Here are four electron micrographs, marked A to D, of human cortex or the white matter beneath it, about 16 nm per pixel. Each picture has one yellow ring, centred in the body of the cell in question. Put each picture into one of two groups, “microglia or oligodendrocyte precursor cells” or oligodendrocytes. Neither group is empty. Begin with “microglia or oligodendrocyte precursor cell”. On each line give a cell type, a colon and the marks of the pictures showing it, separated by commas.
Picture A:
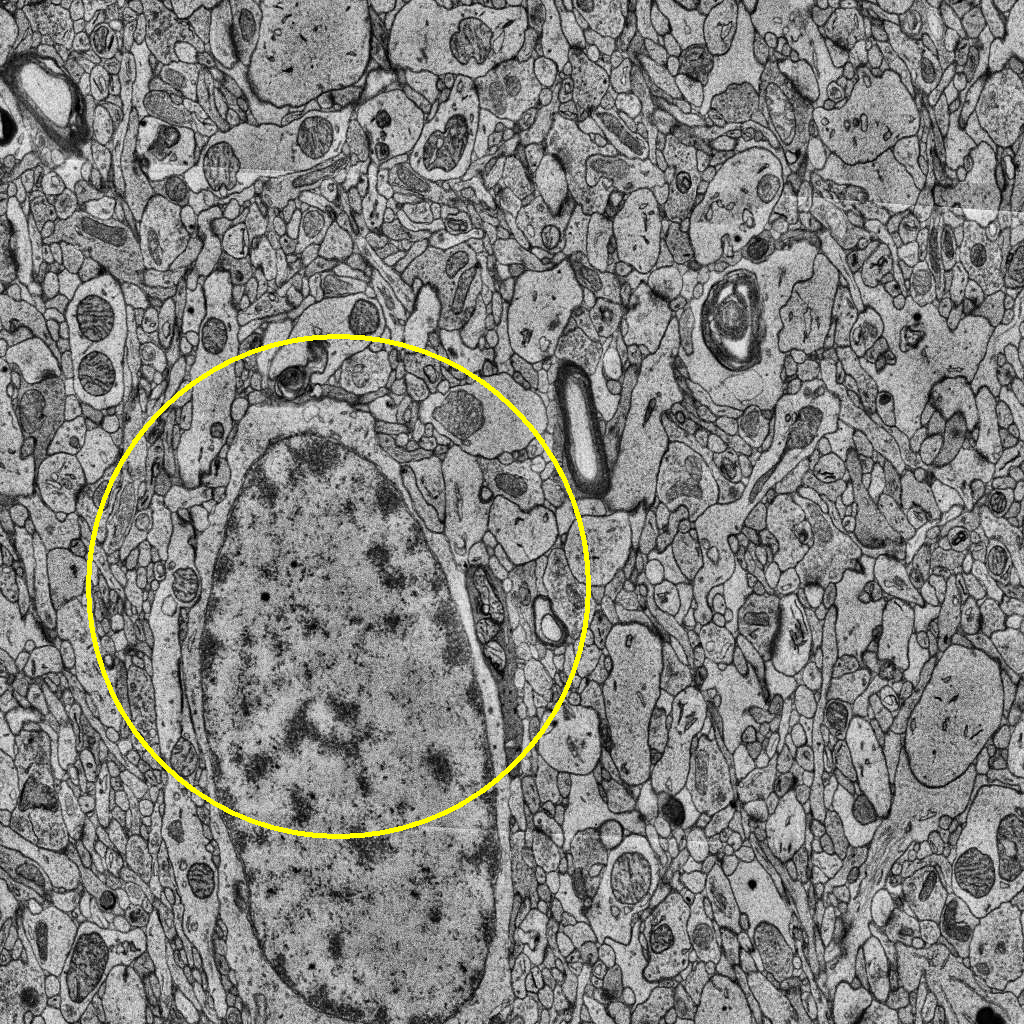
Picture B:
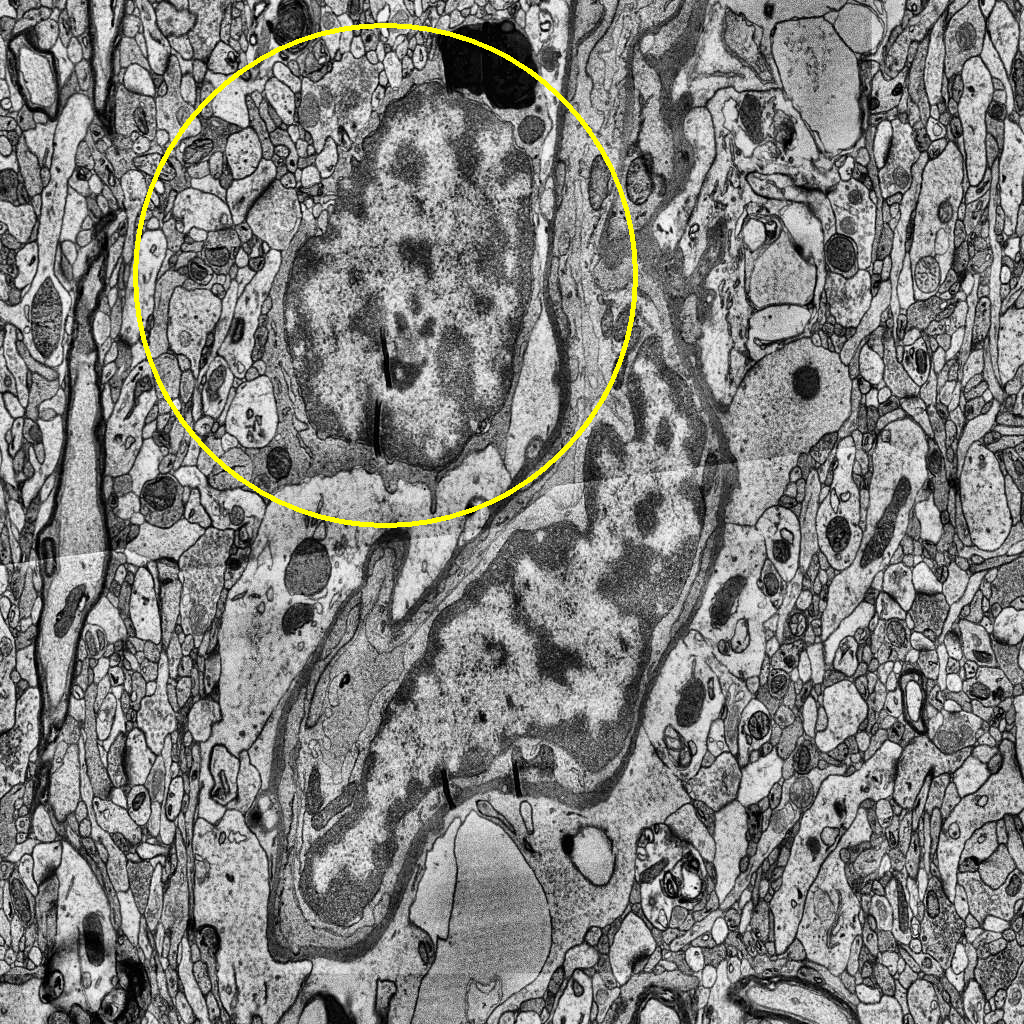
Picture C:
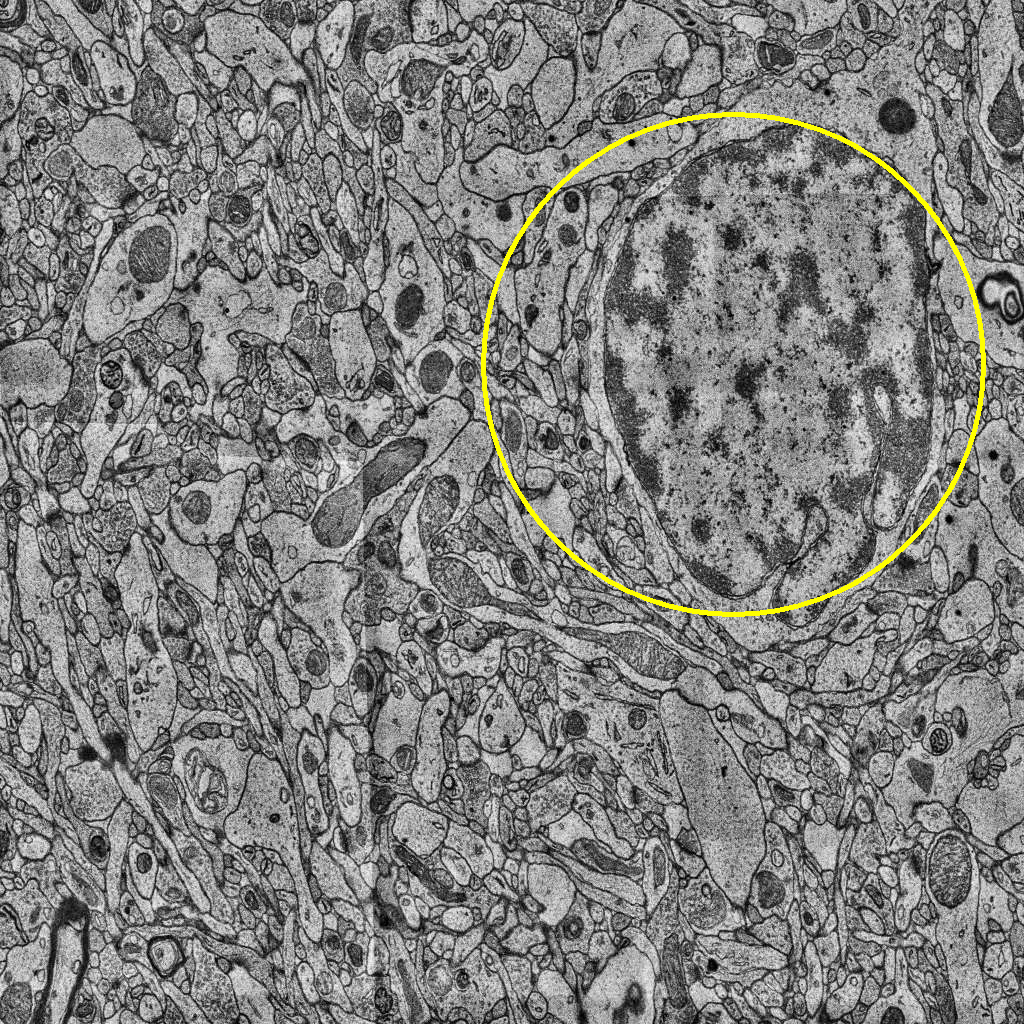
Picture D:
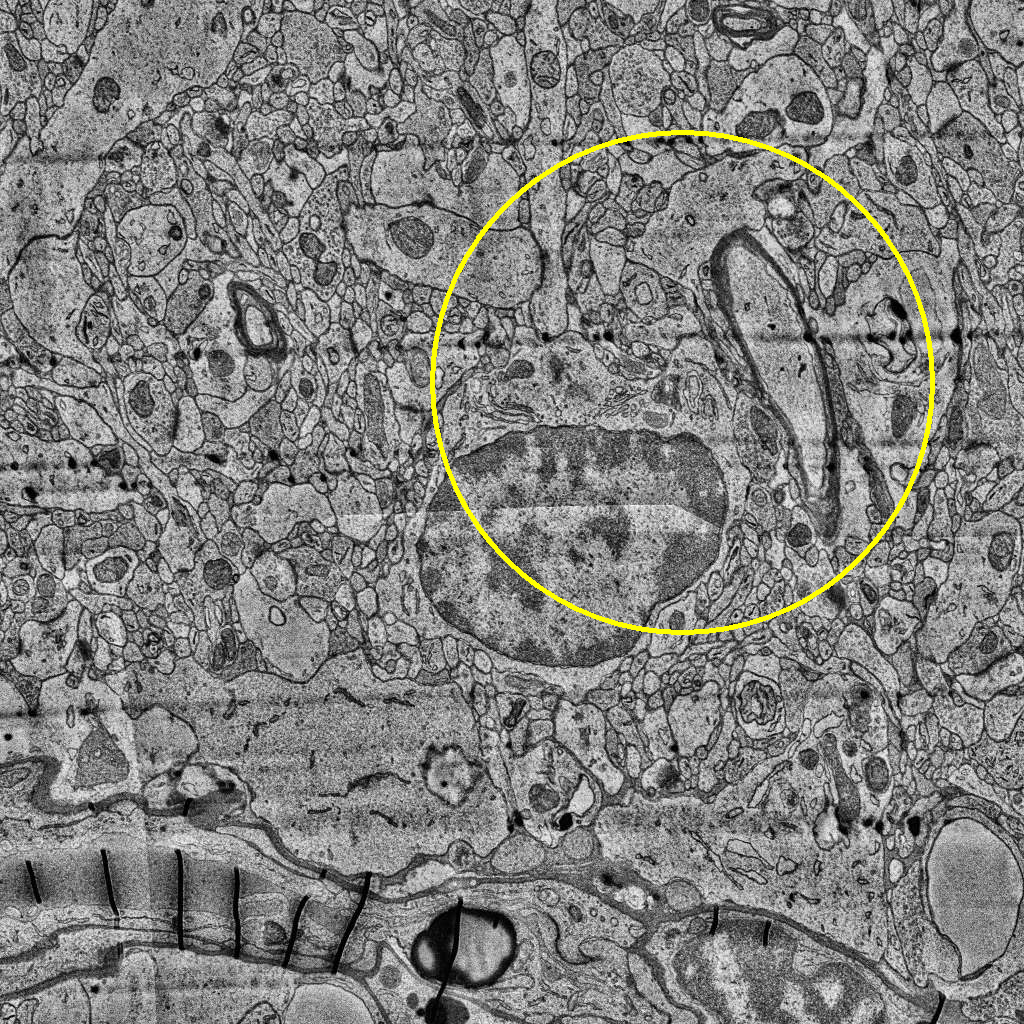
microglia or oligodendrocyte precursor cell: A, C, D
oligodendrocyte: B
